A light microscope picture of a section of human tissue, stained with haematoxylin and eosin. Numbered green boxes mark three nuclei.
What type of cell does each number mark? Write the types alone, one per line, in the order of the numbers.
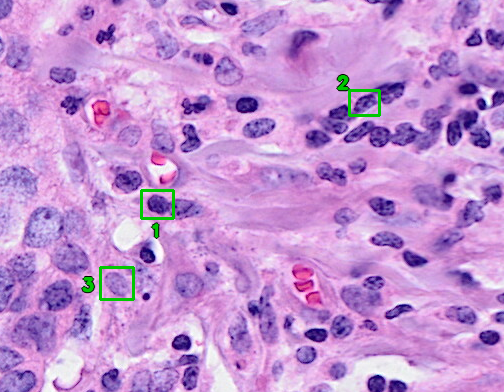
lymphocyte
lymphocyte
macrophage, monocyte or dendritic cell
